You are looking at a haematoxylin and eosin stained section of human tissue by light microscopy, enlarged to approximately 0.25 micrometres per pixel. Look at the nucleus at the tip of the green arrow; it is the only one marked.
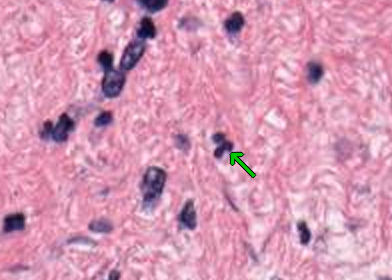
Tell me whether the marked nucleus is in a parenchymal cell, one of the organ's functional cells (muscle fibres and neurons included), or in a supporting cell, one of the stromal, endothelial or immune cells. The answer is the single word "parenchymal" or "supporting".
supporting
